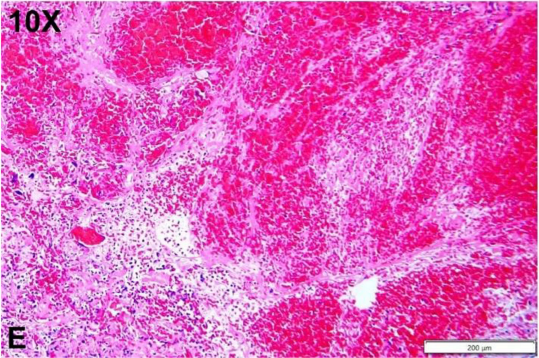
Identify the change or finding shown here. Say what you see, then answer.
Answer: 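Large fields of the section are filled with packed red blood cells. That points to this answer: hemorrhage.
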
